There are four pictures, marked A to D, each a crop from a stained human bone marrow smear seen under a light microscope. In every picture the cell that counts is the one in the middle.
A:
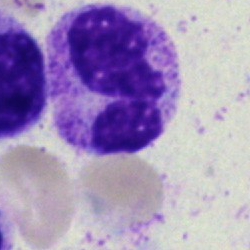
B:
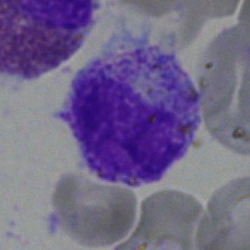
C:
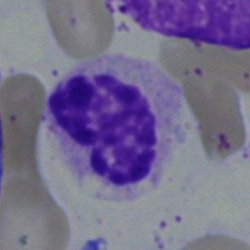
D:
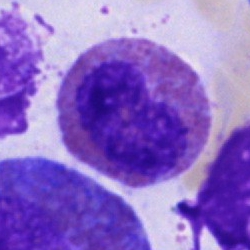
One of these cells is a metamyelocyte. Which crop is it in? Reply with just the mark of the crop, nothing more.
B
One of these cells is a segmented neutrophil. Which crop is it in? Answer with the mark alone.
A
